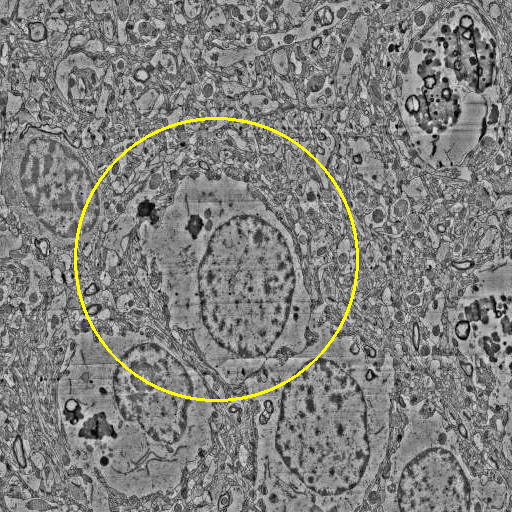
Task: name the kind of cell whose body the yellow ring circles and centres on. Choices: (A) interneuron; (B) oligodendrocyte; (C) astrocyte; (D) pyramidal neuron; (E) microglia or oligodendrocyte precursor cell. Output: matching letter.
C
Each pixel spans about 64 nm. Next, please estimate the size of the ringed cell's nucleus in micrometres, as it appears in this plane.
Approximately 9 micrometres long and 6 micrometres wide, in this plane.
